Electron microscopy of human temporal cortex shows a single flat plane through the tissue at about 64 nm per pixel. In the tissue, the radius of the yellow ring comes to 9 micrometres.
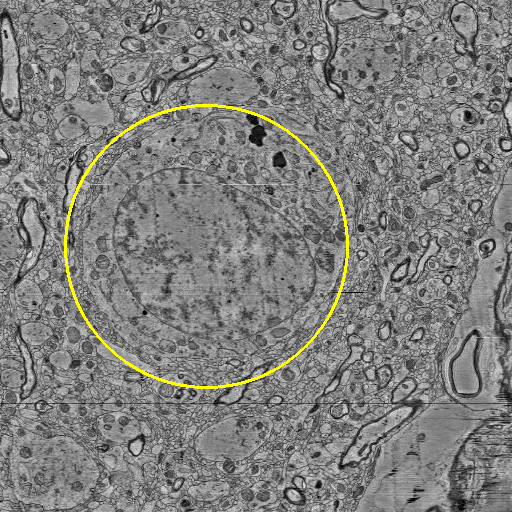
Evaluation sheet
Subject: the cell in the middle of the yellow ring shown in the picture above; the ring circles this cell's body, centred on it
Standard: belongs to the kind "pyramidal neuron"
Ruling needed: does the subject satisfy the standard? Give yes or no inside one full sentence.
No, the cell in the middle of the ring in the picture above belongs to some other kind.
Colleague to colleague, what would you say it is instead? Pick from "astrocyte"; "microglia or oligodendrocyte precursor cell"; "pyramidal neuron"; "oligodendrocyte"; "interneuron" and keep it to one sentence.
It is an interneuron that the ring is centred on.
